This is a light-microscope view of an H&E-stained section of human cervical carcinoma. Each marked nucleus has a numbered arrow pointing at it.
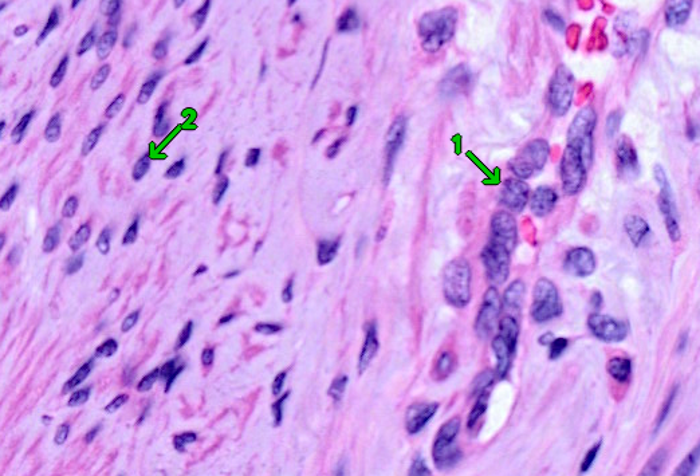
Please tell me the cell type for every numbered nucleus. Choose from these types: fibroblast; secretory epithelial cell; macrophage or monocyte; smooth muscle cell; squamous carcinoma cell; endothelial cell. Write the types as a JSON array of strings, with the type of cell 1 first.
["endothelial cell", "smooth muscle cell"]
